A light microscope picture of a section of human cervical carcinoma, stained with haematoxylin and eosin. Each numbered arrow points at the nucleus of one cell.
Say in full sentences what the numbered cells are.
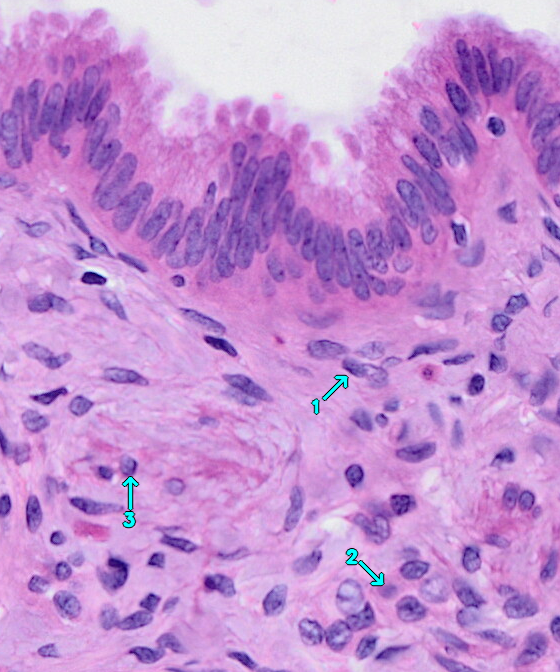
Cell 1 is a fibroblast, cell 2 is an endothelial cell and cell 3 is a smooth muscle cell.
